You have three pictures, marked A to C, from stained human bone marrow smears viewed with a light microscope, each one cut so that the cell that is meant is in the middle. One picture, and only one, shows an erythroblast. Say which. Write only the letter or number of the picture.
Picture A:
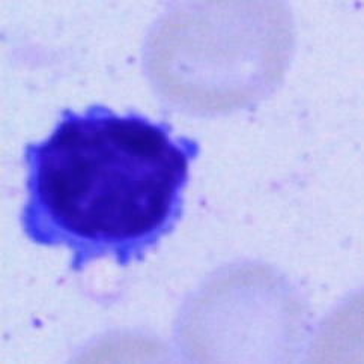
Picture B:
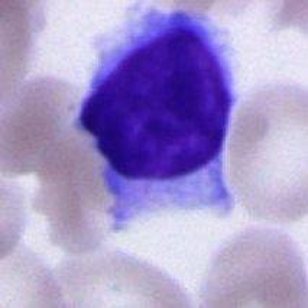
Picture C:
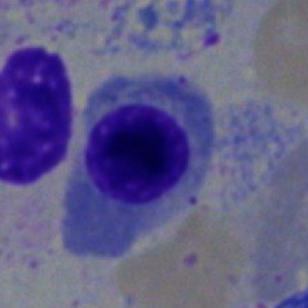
C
